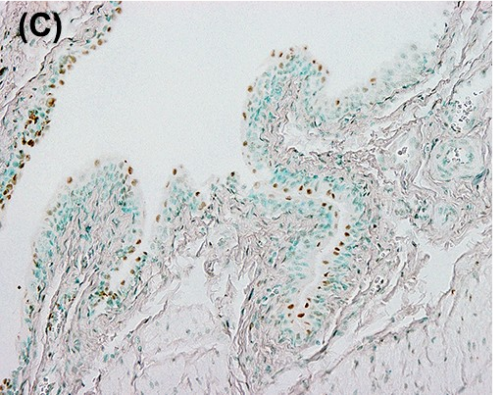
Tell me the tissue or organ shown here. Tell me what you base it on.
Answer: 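A few-layered epithelium lines a wide lumen. The lining is folded over loose connective tissue. On this evidence: bladder urothelium.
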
